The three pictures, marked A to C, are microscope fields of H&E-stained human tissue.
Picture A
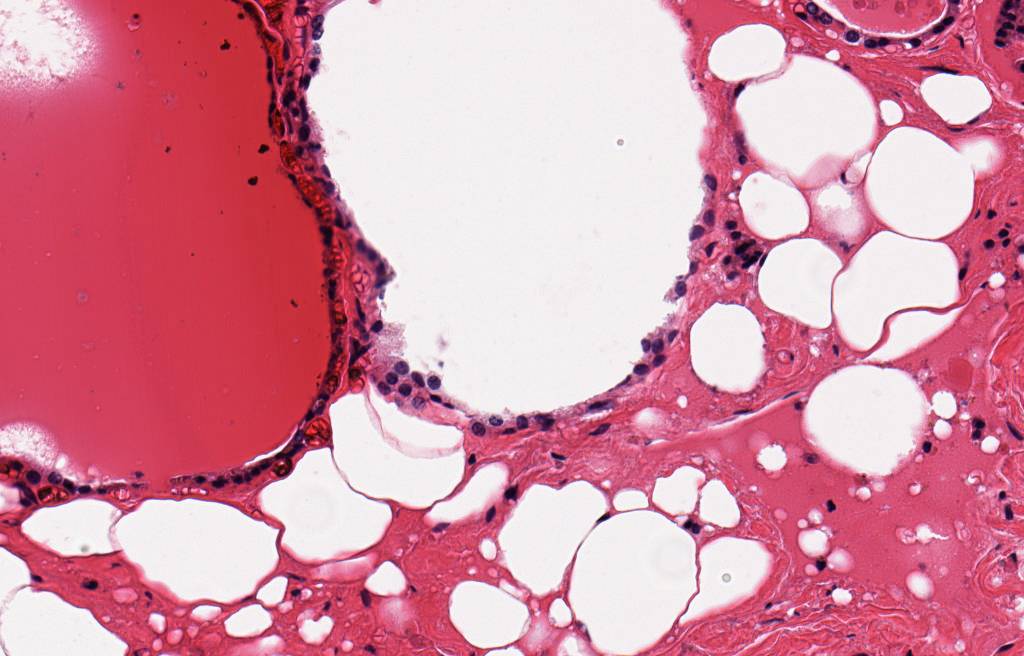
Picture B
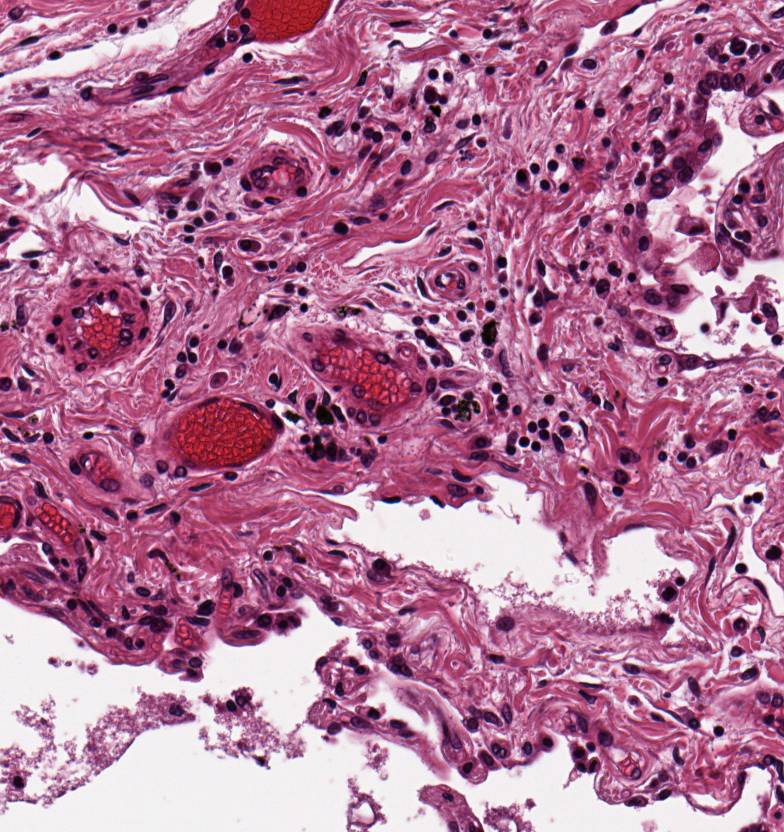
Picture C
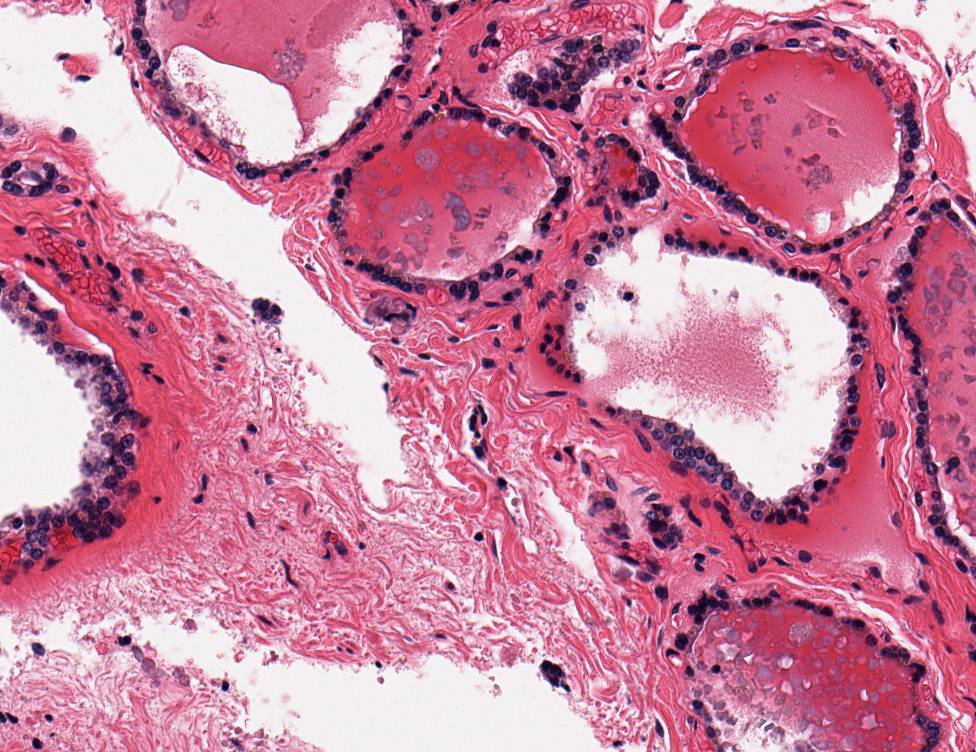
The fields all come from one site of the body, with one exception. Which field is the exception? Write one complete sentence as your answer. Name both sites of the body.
The others come from the thyroid, but picture B comes from the lung.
